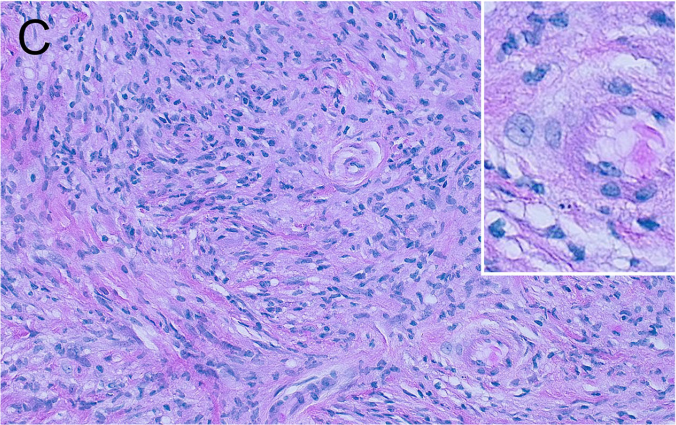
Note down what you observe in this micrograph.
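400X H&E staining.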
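At high magnification, sheets of oval to spindle cells with abundant pale pink cytoplasm are arranged in vague whorls and streams, some around small vessels. Their nuclei are irregular, and in the enlarged inset several are notched and folded, lying in pale, bubbly, vacuolated cytoplasm. These are foamy histiocytes with irregularly folded or lobulated nuclei.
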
